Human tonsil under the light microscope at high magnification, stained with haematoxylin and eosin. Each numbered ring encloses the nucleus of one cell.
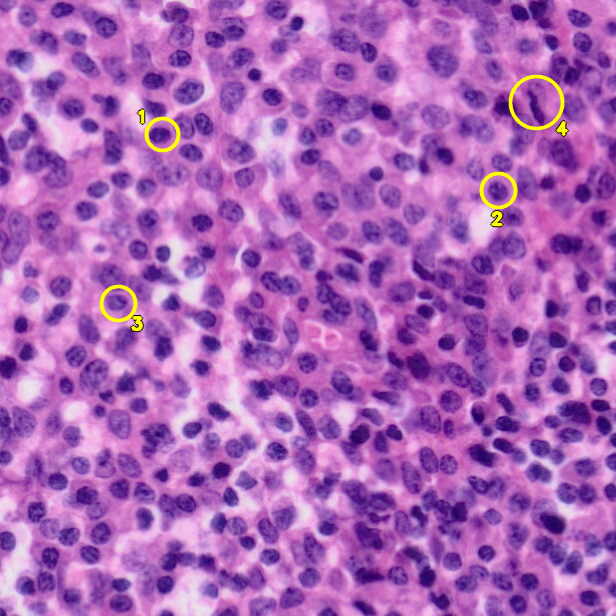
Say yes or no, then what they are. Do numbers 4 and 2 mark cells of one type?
No: cell 4 is a squamous epithelial cell, while cell 2 is a plasma cell.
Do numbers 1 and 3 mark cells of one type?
Yes, cell 1 and likewise cell 3 are plasma cells.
